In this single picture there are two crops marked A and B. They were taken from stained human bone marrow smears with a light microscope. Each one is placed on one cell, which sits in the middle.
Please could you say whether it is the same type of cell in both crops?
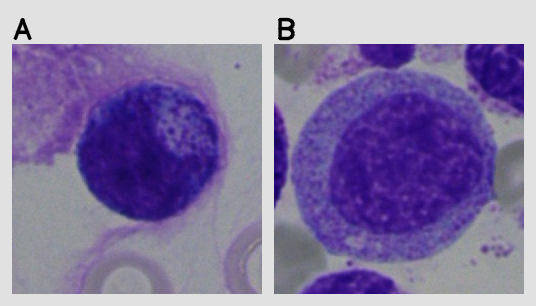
yes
